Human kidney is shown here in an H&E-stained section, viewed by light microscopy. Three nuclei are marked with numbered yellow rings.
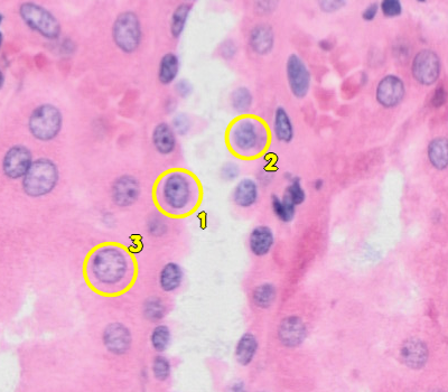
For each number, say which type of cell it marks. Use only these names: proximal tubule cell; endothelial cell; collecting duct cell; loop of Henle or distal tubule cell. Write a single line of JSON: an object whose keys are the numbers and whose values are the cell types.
{"1": "loop of Henle or distal tubule cell", "2": "loop of Henle or distal tubule cell", "3": "proximal tubule cell"}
